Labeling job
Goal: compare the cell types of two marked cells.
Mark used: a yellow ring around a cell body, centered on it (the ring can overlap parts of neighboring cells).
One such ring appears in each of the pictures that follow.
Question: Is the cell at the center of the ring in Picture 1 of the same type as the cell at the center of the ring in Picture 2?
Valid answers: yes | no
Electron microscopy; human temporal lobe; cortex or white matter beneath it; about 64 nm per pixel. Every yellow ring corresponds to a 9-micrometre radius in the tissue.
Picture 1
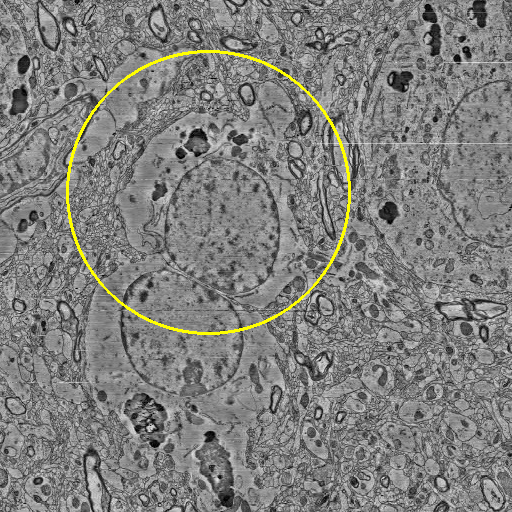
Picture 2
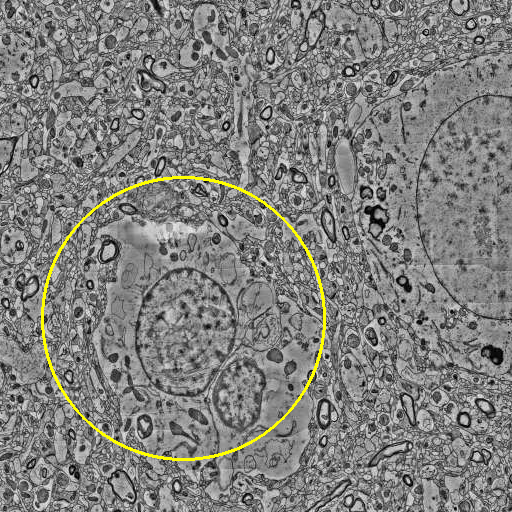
yes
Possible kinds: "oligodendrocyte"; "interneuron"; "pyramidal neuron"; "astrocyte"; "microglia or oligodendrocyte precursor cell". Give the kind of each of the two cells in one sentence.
The cell in the first picture is an astrocyte, and so is the one in the second.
